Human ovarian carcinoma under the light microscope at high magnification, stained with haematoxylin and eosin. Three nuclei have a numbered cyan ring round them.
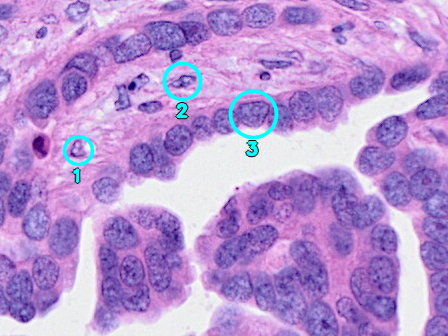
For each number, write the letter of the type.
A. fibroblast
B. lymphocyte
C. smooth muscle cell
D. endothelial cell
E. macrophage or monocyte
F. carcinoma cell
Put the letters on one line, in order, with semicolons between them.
A; A; F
